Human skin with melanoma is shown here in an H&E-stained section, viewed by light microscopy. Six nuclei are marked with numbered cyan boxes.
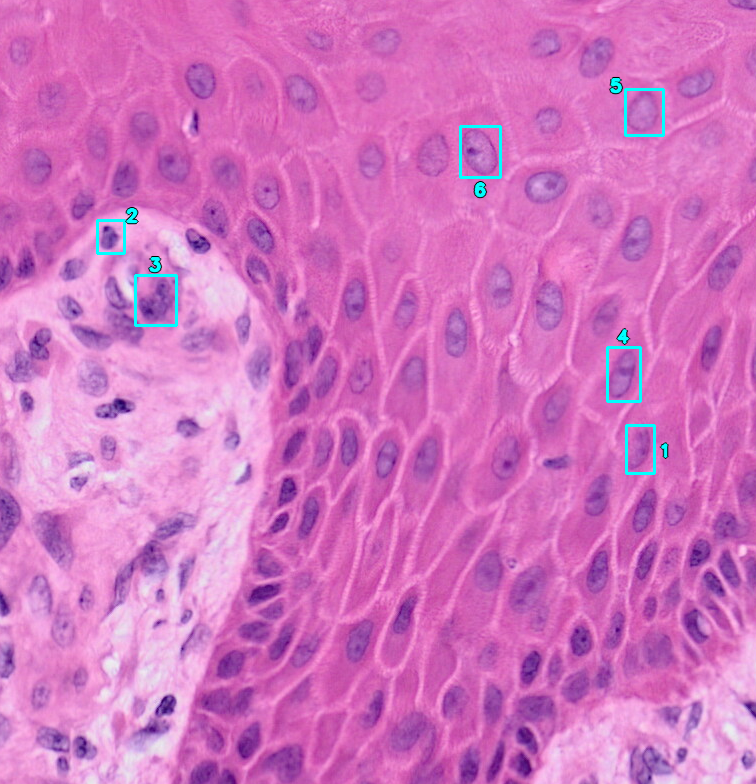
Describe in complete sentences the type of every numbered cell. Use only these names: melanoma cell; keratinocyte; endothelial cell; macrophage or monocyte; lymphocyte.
Cell 1 is a keratinocyte, cell 2 is a lymphocyte, cell 3 is an endothelial cell, cell 4 is a keratinocyte, cell 5 is a keratinocyte and cell 6 is a keratinocyte.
